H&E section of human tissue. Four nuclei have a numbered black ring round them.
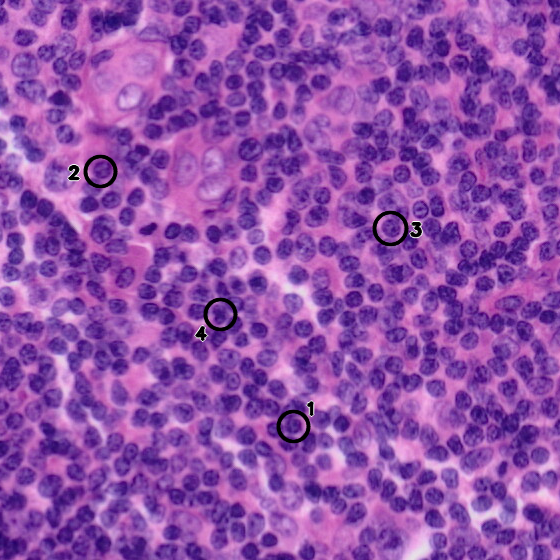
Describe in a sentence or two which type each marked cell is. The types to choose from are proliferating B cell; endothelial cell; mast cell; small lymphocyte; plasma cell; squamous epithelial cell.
Cells 1, 3 and 4 are small lymphocytes. Cell 2 is a plasma cell.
